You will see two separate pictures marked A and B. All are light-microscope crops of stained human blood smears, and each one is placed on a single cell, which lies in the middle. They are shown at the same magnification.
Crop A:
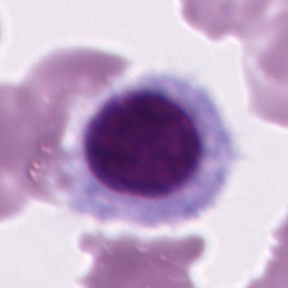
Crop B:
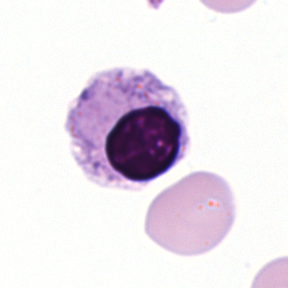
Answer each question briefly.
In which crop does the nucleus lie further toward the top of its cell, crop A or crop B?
A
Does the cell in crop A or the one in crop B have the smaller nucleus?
B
